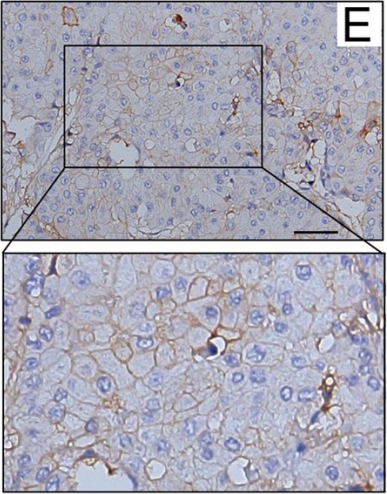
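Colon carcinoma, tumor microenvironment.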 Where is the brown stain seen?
membranous pattern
